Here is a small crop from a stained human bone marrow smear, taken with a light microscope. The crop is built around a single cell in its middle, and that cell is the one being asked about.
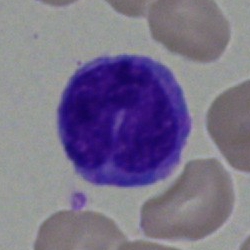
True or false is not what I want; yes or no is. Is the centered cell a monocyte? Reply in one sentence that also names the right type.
Yes, the cell found in the middle is a monocyte.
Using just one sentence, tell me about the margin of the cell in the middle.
The outline traces a smooth curve with no projections along it.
